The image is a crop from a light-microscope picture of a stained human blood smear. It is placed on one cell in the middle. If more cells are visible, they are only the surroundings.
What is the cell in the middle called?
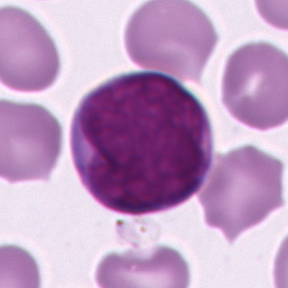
myeloblast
